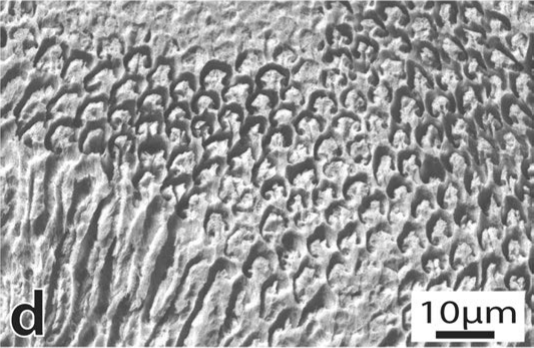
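Tooth enamel at high magnification, showing enamel prisms cut mostly across their long axis. Each prism appears as an arc- or horseshoe-shaped outline a few micrometres wide, open on one side. The prisms are closely packed in rough rows over most of the field. Toward the lower left the prisms are cut lengthwise and appear as elongated, parallel rods.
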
